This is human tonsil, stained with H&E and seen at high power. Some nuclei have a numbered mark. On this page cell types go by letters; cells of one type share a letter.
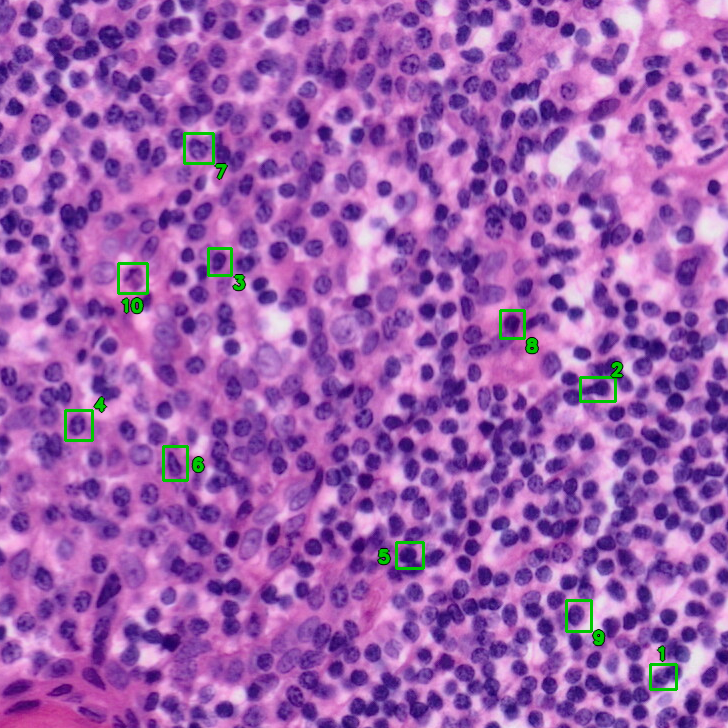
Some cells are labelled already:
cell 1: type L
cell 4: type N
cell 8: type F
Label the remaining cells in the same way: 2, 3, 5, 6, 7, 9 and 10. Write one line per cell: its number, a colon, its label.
2: type L
3: type N
5: type L
6: type N
7: type N
9: type L
10: type F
